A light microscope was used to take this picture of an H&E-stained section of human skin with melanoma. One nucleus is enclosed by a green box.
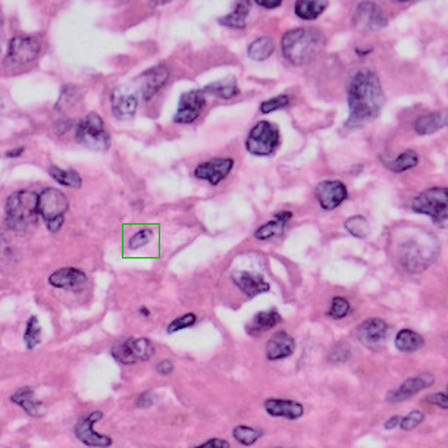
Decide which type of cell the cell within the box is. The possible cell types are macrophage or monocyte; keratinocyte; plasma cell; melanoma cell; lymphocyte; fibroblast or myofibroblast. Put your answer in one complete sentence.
In the tissue under study, the cell within the box is a macrophage or monocyte.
